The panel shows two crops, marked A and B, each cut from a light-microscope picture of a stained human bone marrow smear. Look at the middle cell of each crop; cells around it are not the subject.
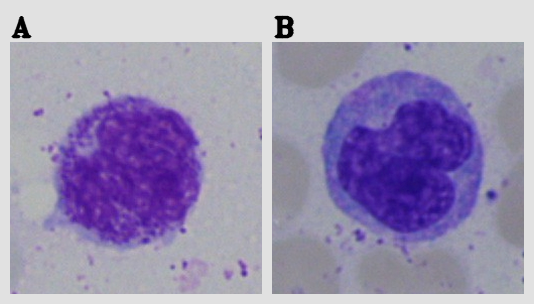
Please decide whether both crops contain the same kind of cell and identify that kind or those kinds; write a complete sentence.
No, the middle of crop A holds a myelocyte, and the middle of crop B holds a monocyte.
